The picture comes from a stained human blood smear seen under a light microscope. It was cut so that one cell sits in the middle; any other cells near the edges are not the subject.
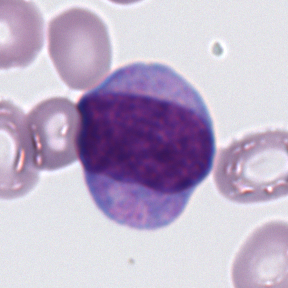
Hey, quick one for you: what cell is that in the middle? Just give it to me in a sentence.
The central cell in this smear crop is an atypical promyelocyte.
